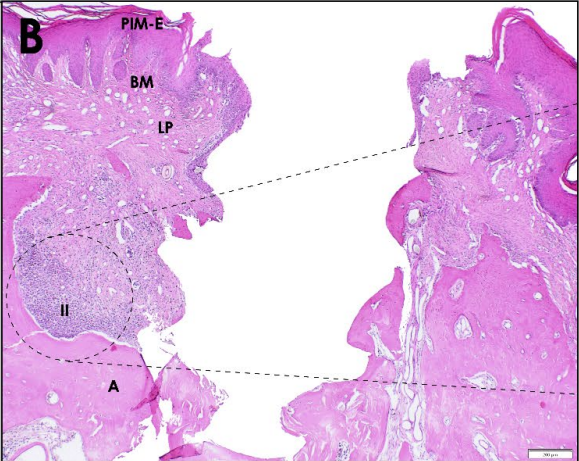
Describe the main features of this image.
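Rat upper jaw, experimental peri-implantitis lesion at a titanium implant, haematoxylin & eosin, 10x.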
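At the top a stratified squamous epithelium, stained deep pink and purple, covers the mucosa and sends ridges down into it. Below it lies a looser, pale pink connective tissue with many small vessels. Lower down on the left, a dense purple patch of closely packed cells marks a focus of inflammatory cells sitting against the bone. Bone shows as the solid, smooth pink tissue along the bottom and on both sides of the gap.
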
